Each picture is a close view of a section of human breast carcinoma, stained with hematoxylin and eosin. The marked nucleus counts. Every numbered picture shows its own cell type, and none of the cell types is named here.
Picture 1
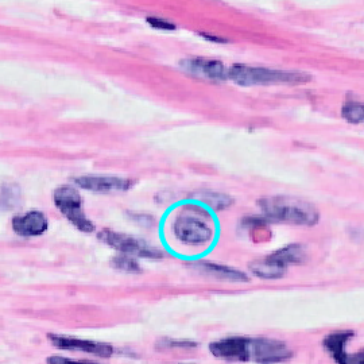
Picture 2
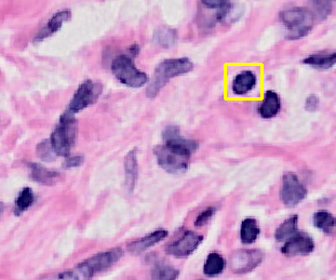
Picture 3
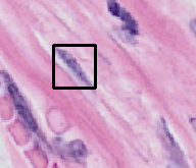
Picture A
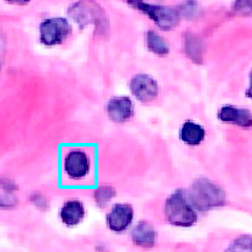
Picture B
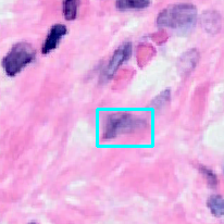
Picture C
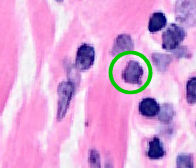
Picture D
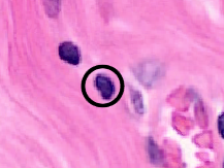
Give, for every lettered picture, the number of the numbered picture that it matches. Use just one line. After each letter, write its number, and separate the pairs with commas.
A 2, B 1, C 2, D 2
